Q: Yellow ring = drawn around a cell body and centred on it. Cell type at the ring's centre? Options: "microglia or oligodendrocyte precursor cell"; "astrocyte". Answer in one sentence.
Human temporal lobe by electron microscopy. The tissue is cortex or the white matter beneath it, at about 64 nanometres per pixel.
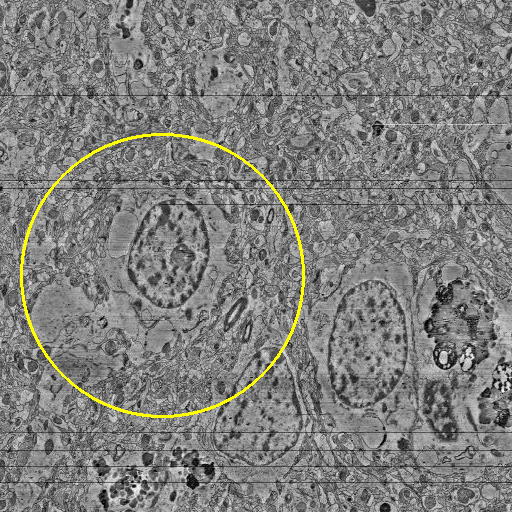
Centred in the ring is an astrocyte.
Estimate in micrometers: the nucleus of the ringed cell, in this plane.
The nucleus is approximately 7 micrometers long by 5 micrometers wide in this plane.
